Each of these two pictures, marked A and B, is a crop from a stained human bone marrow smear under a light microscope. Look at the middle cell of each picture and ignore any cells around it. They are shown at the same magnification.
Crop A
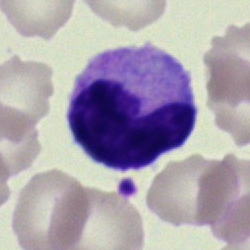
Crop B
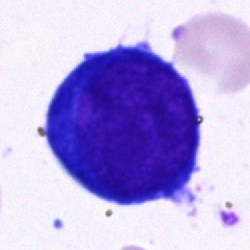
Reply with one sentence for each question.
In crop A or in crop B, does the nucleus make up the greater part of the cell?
In crop B the nucleus takes up the larger part of its cell.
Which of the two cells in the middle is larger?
It is the cell in crop B, about 1.5 times as large in area as the cell in crop A.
